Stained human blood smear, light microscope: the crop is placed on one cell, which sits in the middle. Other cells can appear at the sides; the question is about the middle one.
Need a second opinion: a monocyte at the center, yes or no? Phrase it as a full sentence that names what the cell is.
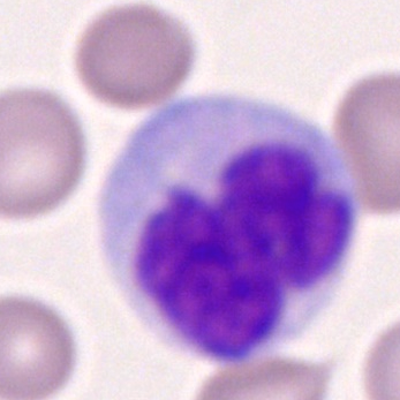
Yes, the centered cell in this field is a monocyte.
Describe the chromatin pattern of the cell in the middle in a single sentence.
The chromatin of this one is coarsely clumped.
